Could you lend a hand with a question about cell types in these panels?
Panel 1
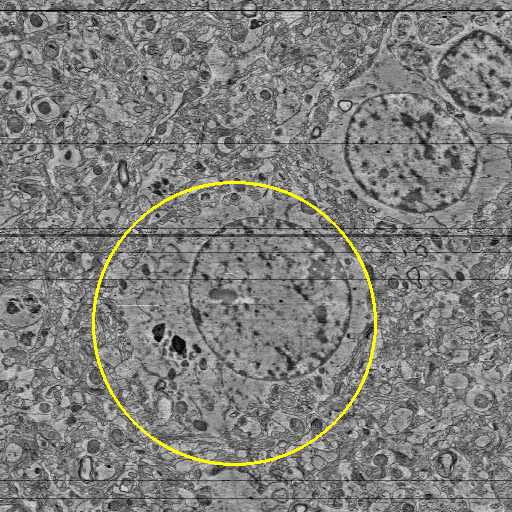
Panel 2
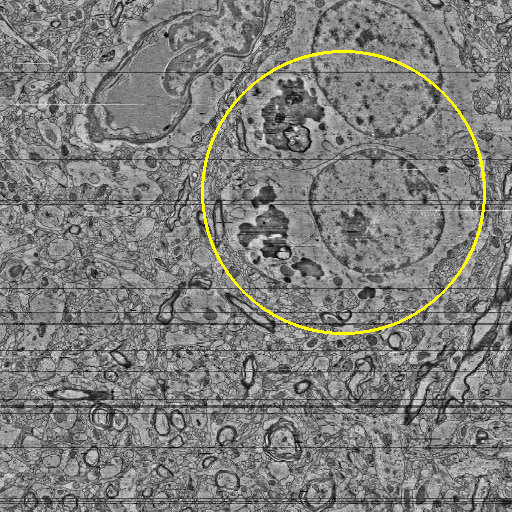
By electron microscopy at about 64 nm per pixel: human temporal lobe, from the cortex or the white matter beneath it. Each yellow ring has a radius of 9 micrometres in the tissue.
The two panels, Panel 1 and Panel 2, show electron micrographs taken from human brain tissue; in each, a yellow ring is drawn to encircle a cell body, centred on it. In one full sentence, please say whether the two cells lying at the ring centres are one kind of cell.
Yes, the cells at the ring centres in the two panels are one kind of cell.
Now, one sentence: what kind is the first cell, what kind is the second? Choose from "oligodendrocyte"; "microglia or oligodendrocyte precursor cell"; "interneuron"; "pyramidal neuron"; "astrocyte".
Each one of the two ringed cells is an astrocyte.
